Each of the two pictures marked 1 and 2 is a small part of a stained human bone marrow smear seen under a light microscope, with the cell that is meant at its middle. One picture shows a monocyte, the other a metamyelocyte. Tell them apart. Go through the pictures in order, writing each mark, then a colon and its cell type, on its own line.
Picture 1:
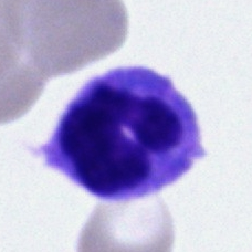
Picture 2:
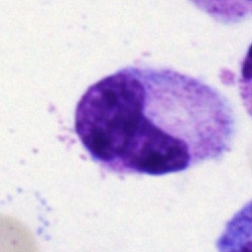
1: monocyte
2: metamyelocyte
